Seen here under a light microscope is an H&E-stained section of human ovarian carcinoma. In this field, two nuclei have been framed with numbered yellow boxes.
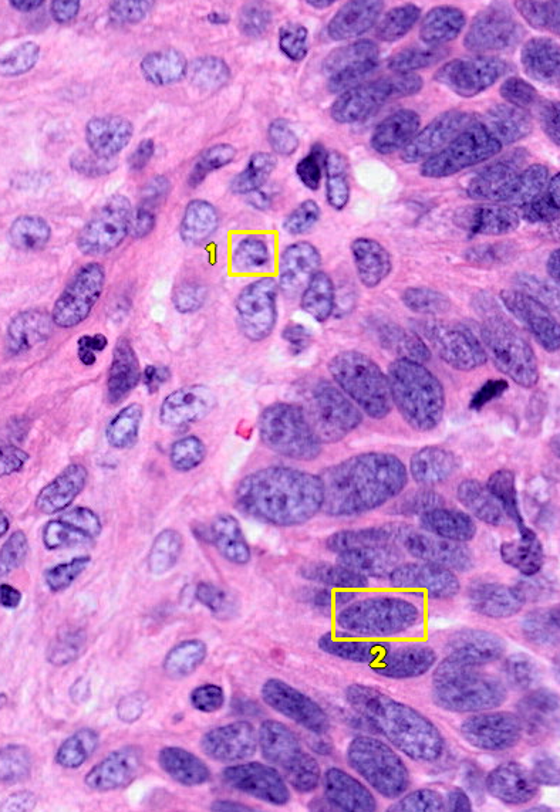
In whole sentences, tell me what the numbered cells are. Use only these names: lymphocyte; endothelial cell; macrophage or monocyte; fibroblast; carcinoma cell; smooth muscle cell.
Cell 1 is a fibroblast. Cell 2 is a carcinoma cell.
